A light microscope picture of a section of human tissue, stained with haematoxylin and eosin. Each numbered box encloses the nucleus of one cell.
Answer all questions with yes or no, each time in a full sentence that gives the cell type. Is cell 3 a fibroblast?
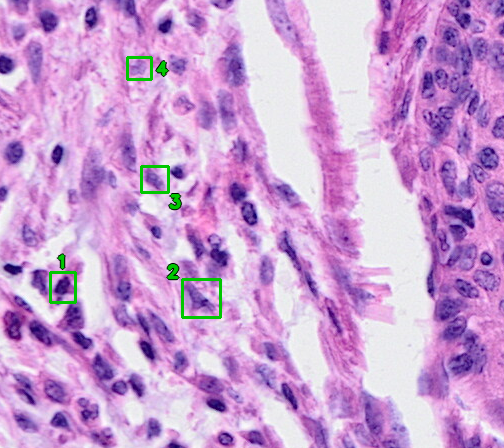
Yes, the numbered cell 3 is a fibroblast.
